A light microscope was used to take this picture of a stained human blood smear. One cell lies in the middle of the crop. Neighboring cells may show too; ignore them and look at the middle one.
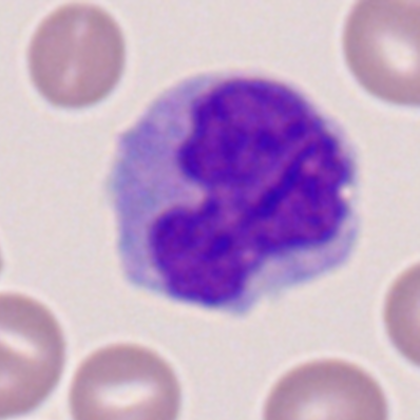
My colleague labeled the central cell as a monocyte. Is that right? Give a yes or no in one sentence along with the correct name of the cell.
Yes, the cell occupying the middle of the crop is a monocyte.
